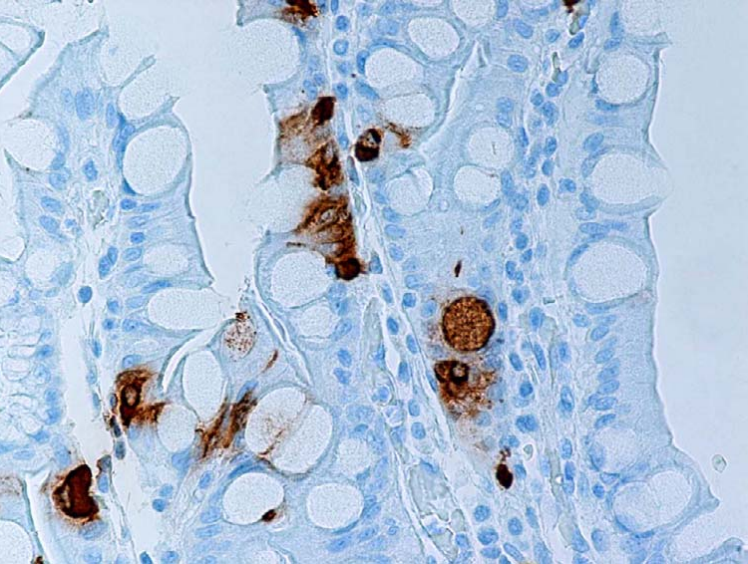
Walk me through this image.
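The glands are lined by a single layer of columnar cells with basal oval blue nuclei. Many goblet cells lie between them, each with a large round clear mucin vacuole. Scattered single cells within the epithelium stain brown against the blue background. Some of them are small, triangular or flask-shaped and sit near the base of the epithelium. One rounded cell has evenly brown cytoplasm. Thin stromal strips with small spindle and round nuclei run between the glands.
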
